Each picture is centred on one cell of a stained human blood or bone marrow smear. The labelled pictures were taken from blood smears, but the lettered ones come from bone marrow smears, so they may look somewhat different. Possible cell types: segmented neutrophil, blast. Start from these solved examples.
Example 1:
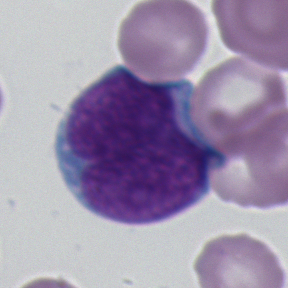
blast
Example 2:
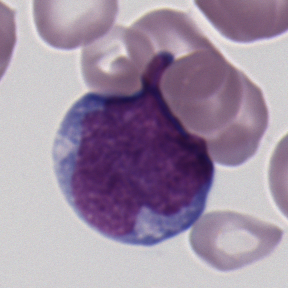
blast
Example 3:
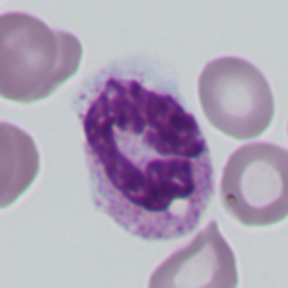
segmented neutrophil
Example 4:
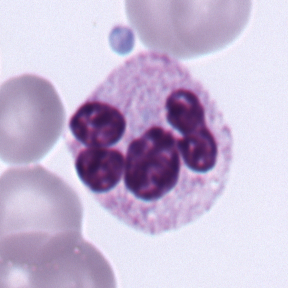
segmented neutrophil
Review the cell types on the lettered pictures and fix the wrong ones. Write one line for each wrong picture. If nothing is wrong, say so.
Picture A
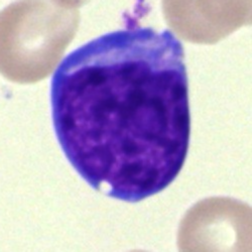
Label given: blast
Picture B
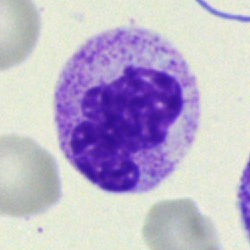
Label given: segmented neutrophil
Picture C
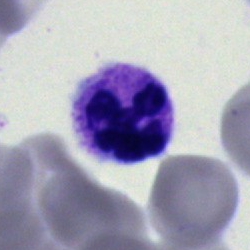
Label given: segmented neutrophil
No label is wrong.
